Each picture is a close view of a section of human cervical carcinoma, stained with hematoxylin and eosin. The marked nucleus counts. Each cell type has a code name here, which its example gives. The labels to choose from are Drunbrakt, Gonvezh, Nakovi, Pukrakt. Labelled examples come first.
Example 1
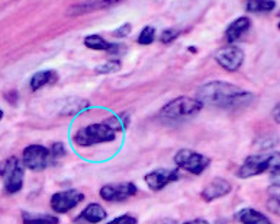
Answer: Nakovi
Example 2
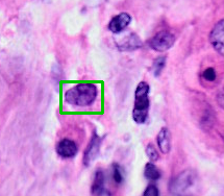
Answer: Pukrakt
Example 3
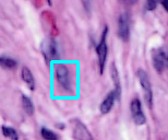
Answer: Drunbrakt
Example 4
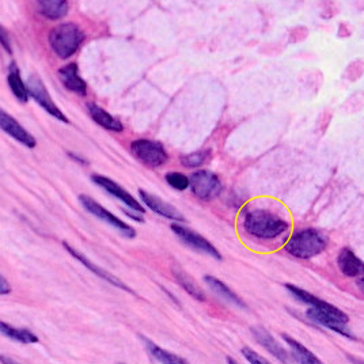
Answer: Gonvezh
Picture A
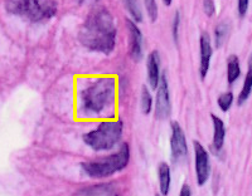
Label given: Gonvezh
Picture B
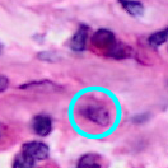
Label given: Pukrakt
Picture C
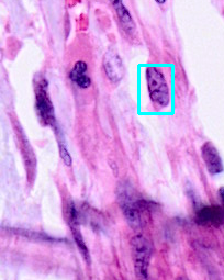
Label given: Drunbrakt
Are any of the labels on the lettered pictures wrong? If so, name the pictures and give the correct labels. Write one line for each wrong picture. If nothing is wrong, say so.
C is labelled Drunbrakt; correct label: Pukrakt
